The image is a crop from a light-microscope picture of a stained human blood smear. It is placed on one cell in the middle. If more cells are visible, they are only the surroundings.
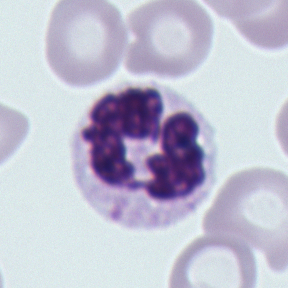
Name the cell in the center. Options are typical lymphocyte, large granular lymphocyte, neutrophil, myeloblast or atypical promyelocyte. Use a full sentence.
Centrally within this crop lies a neutrophil.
